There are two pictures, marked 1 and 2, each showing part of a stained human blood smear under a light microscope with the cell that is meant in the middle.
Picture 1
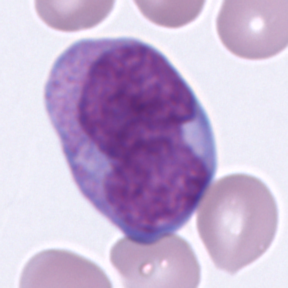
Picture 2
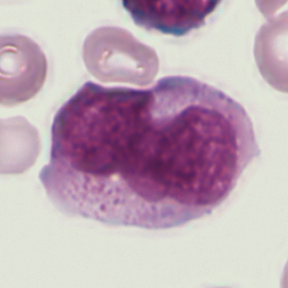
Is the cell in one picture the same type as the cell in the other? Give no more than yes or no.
yes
